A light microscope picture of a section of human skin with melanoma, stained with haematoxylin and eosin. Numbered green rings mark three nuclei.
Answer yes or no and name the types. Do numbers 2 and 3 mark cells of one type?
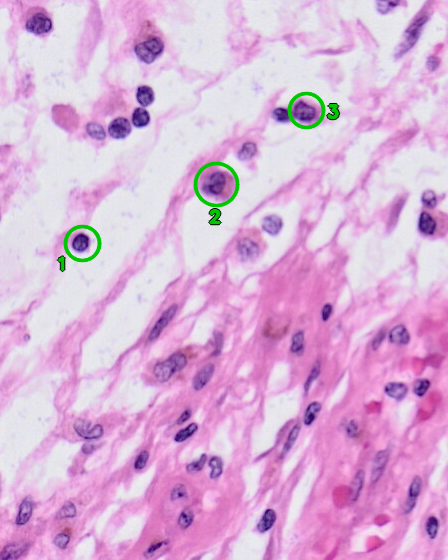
Yes, in this section cells 2 and 3 are both macrophages or monocytes.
